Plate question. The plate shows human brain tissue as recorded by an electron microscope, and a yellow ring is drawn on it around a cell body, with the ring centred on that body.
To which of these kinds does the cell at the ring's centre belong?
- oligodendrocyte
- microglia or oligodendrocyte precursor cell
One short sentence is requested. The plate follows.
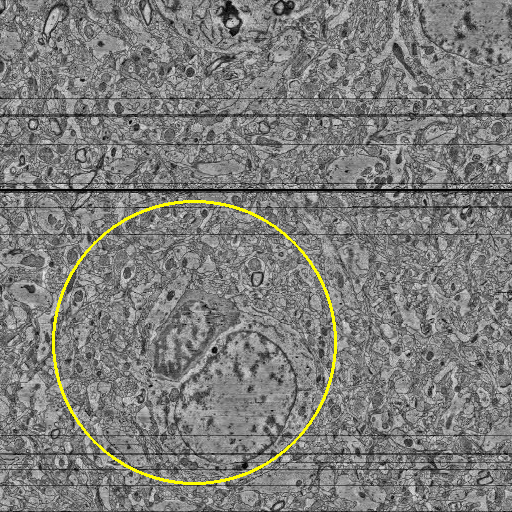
The cell at the ring's centre is an oligodendrocyte.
